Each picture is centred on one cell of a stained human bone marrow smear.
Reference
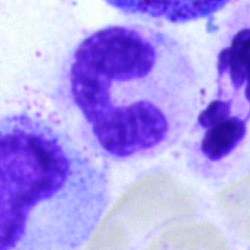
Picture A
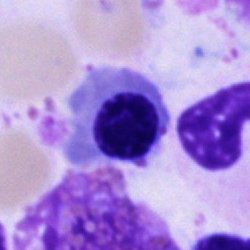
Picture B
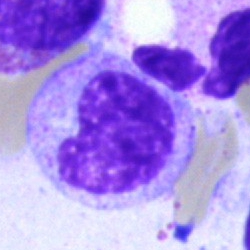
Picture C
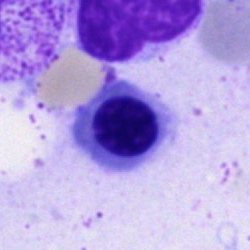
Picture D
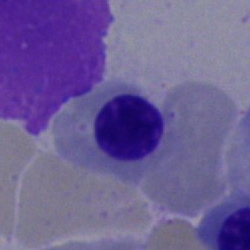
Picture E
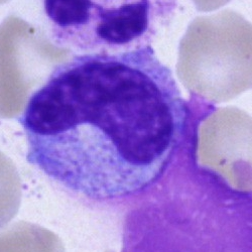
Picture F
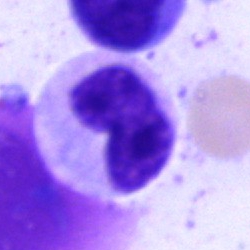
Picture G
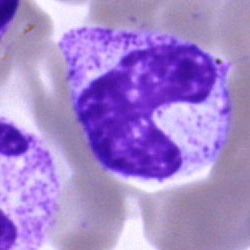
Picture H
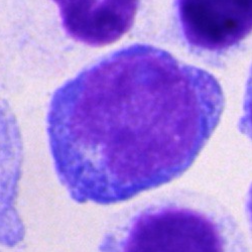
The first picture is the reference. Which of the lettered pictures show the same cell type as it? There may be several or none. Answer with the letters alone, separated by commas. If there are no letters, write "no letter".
G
